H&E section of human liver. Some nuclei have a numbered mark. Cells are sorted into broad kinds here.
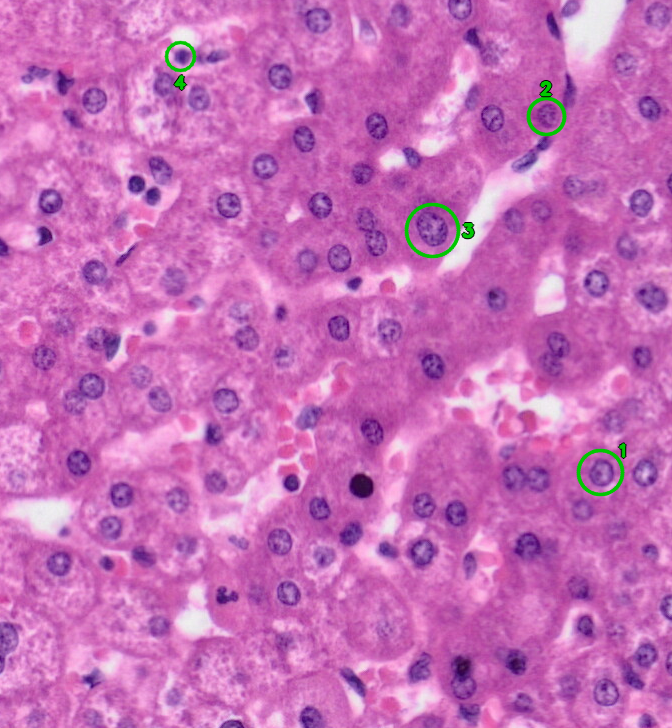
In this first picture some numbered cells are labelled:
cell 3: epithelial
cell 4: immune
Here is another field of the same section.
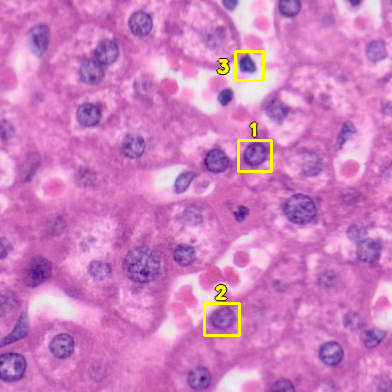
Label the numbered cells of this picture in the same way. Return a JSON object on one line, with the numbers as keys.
{"1": "epithelial", "2": "epithelial", "3": "immune"}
